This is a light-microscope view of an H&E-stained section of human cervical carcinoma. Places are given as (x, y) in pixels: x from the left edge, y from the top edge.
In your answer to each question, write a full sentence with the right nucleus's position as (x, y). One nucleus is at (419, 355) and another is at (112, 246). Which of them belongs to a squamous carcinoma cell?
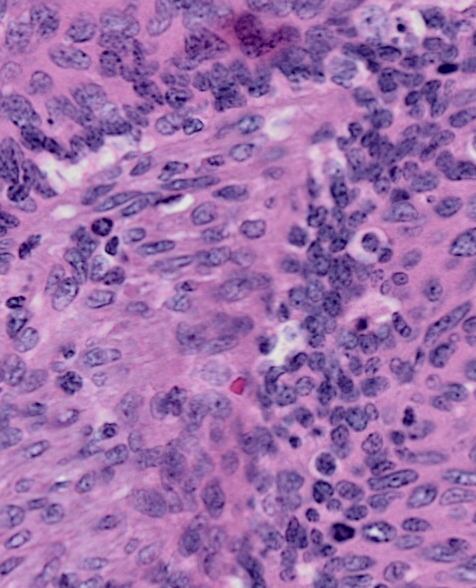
The nucleus that belongs to a squamous carcinoma cell is located at (419, 355).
